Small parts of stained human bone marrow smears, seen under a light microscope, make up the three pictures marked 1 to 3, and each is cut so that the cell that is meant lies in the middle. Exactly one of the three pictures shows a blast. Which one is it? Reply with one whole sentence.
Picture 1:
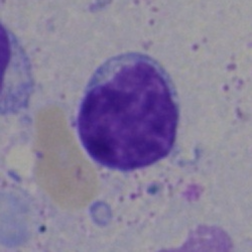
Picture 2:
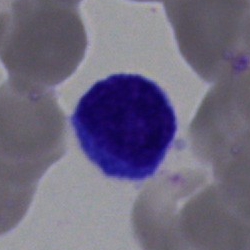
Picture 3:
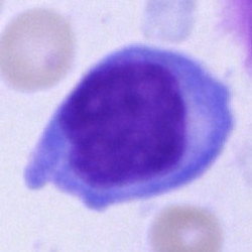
The cell in picture 3 is the blast.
